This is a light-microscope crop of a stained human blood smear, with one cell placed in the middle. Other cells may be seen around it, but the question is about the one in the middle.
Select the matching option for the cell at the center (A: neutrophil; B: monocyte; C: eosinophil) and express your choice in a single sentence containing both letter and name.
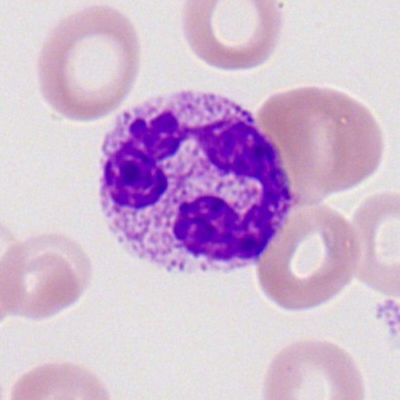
The central cell in this crop is a neutrophil, corresponding to option A, the correct option.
